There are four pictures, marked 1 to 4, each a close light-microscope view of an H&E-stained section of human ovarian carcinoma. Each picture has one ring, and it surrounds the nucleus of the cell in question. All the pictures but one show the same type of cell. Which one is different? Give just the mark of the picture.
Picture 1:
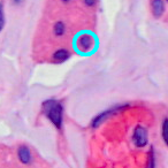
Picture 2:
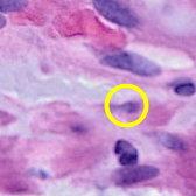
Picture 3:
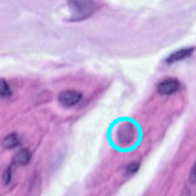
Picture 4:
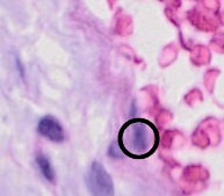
4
